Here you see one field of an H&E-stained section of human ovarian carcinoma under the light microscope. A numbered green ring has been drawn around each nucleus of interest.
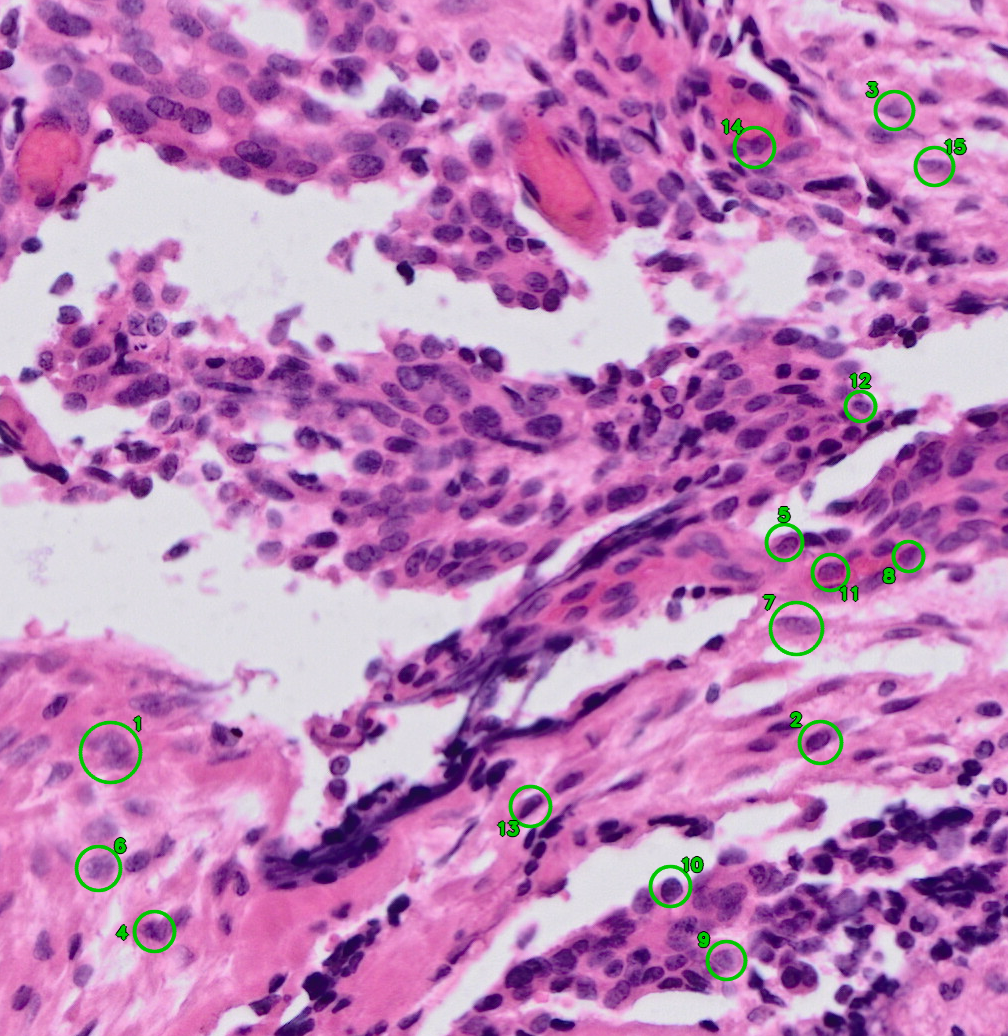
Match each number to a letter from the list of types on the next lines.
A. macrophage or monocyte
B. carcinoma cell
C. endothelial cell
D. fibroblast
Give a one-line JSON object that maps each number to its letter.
{"1": "D", "2": "D", "3": "D", "4": "D", "5": "B", "6": "D", "7": "D", "8": "C", "9": "B", "10": "B", "11": "C", "12": "A", "13": "D", "14": "C", "15": "D"}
